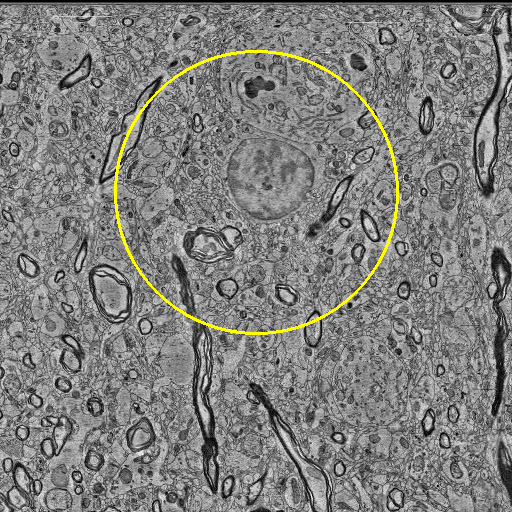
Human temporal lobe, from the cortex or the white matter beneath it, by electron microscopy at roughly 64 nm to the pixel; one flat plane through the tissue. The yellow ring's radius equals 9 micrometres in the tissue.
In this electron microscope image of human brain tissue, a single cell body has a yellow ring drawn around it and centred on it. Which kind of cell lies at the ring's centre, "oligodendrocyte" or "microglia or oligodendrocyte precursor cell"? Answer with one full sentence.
It is an oligodendrocyte whose cell body lies at the centre of the yellow ring here.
